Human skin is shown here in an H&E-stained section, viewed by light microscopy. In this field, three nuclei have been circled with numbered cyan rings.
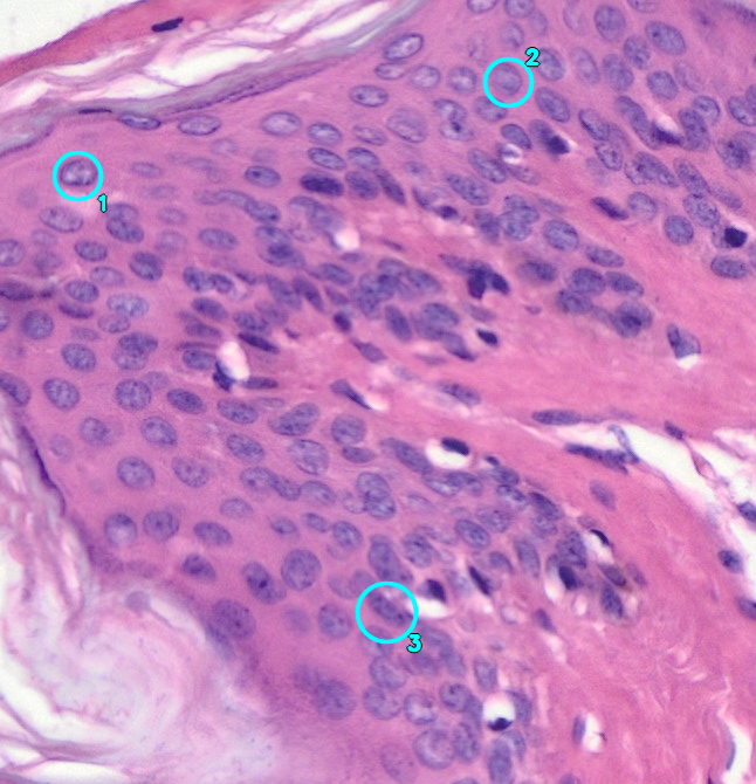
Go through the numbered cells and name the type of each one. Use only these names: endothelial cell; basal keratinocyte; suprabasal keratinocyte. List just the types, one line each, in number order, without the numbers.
suprabasal keratinocyte
suprabasal keratinocyte
basal keratinocyte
